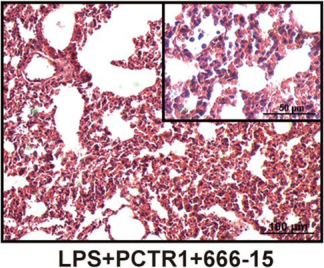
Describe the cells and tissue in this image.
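This is lung tissue stained with hematoxylin and eosin, in which the alveolar walls are markedly thickened and densely crowded with cells. Large parts of the field, especially in the lower half, are solid pink tissue packed with purple nuclei, and little air space remains there. The remaining alveolar spaces are smaller and irregular in shape. The inset at higher power shows closely packed cells with round, dark nuclei filling the septa and encroaching on the air spaces.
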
